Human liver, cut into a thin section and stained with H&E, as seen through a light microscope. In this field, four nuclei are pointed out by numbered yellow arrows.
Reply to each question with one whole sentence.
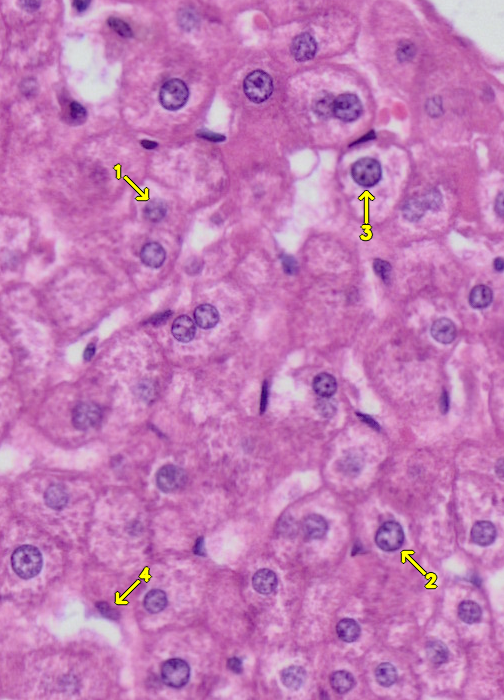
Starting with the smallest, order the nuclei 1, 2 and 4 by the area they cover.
The order from the smallest nucleus to the largest is 4, 1, 2.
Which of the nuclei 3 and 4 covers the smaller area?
Nucleus 4 is the smaller one; nucleus 3 covers about 2.5 times its area.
